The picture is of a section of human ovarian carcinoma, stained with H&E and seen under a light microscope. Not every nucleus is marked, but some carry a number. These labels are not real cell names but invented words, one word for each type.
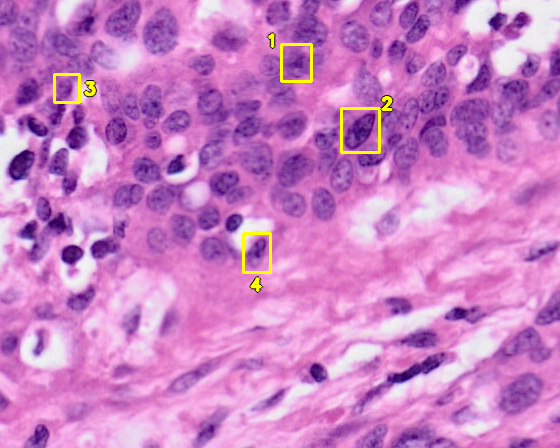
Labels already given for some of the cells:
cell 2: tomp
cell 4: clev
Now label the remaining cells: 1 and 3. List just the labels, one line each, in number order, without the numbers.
tomp
tomp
